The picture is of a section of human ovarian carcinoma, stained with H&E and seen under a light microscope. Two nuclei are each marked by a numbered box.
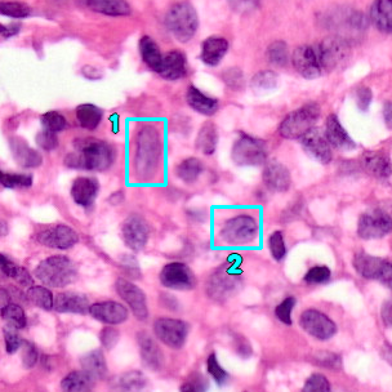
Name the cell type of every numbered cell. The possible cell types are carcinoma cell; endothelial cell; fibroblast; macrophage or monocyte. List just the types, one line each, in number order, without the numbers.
endothelial cell
macrophage or monocyte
